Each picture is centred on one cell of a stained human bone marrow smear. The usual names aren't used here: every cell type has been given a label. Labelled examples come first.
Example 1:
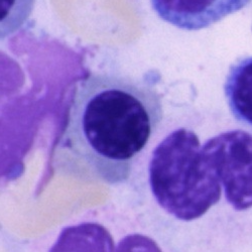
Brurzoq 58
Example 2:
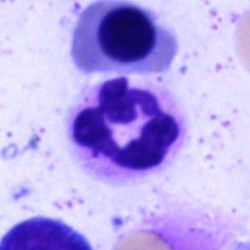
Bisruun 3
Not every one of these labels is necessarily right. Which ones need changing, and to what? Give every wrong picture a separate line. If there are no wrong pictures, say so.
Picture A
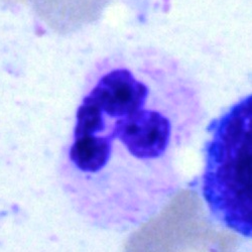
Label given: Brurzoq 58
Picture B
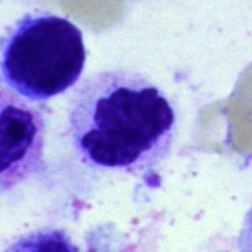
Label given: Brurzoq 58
A: not Brurzoq 58 but Bisruun 3
B: not Brurzoq 58 but Bisruun 3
